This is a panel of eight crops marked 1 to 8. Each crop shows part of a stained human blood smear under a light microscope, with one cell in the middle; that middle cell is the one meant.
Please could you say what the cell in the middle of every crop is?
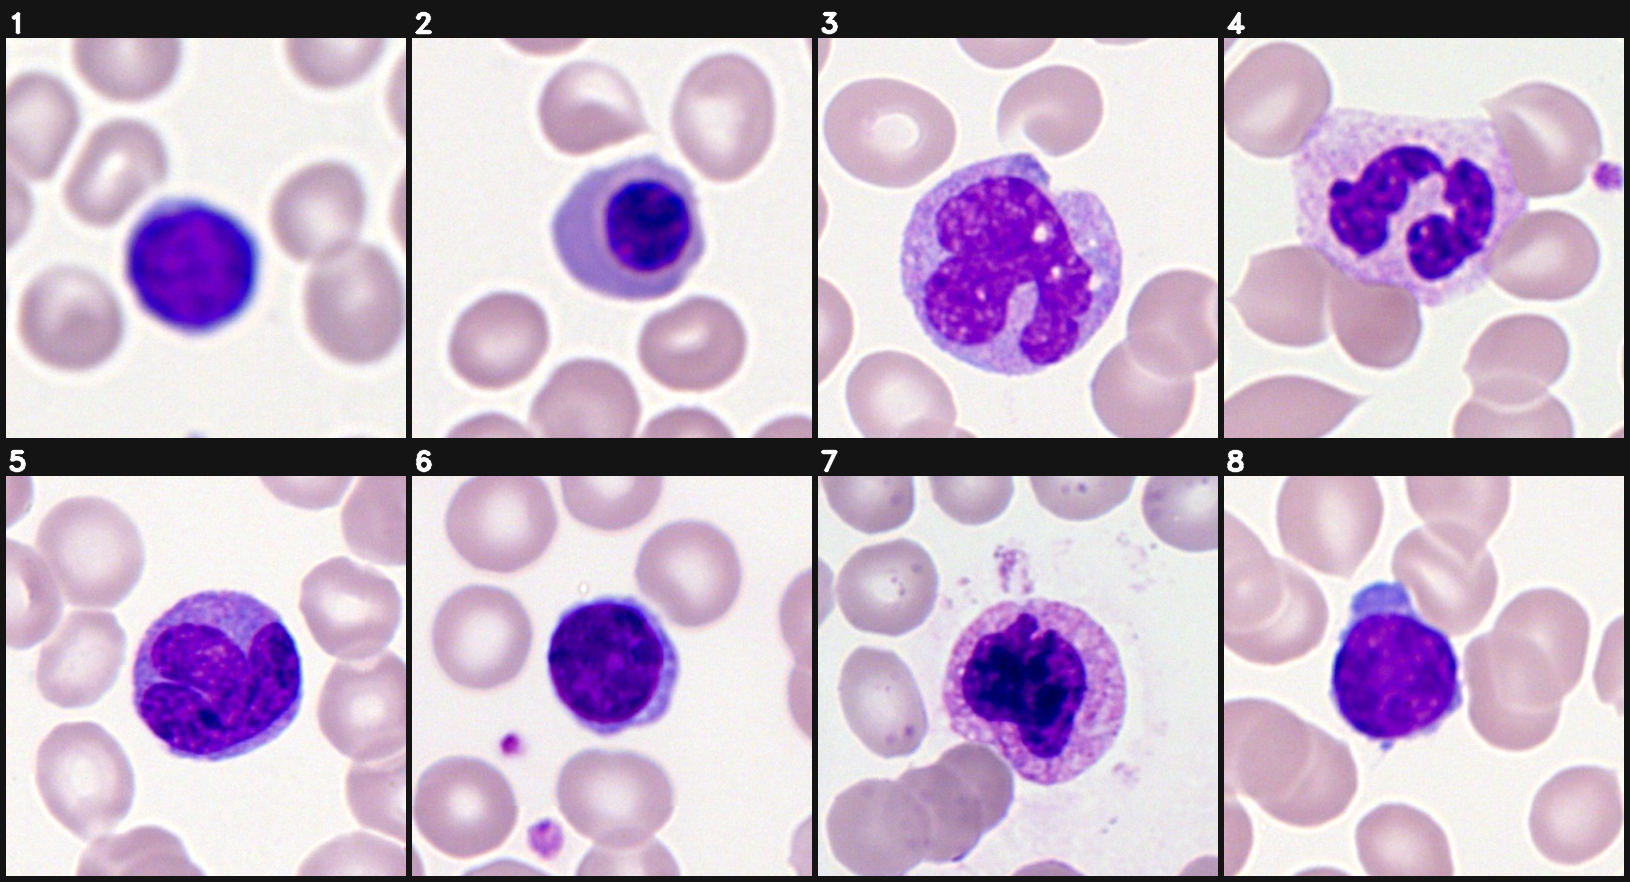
1: lymphocyte
2: normoblast
3: monocyte
4: neutrophil
5: monocyte
6: lymphocyte
7: basophil
8: lymphocyte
